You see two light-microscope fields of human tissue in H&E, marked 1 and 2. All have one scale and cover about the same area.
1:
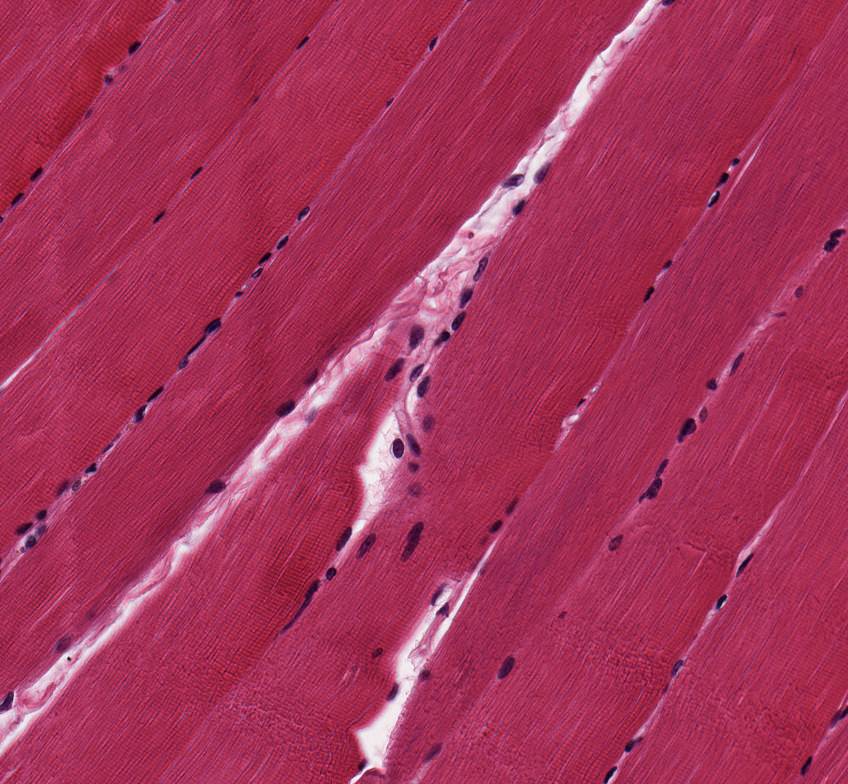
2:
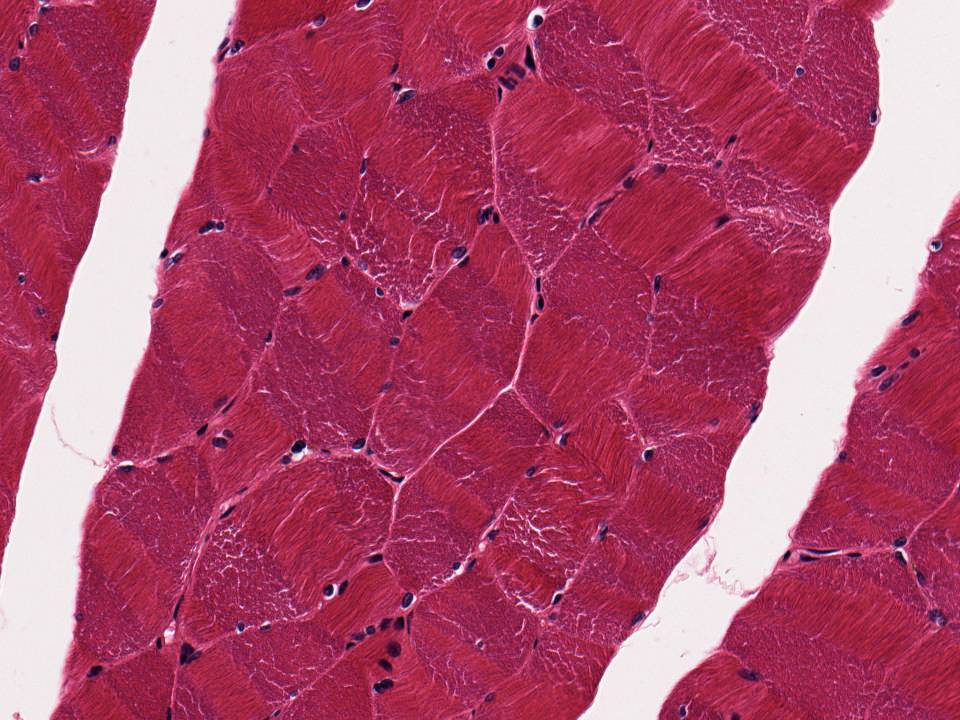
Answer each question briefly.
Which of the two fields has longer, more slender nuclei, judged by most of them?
1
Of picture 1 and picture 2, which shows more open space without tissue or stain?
2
